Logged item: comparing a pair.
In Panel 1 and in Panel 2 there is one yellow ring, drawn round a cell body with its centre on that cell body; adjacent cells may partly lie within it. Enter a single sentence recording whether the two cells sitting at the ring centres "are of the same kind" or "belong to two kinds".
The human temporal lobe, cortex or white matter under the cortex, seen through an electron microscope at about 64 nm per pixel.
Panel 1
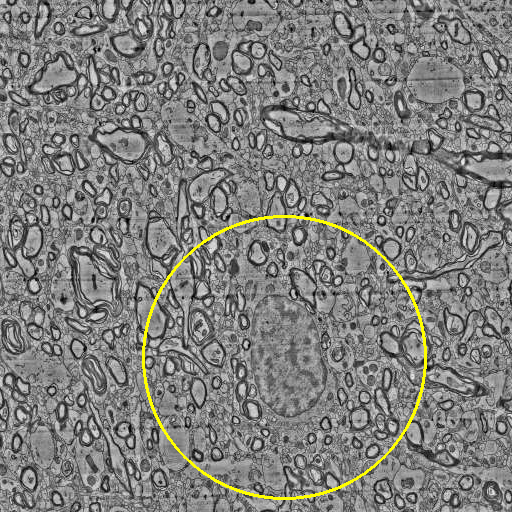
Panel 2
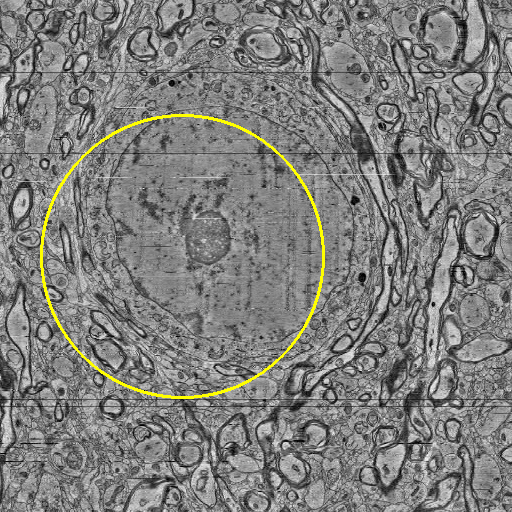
Logged: the cells centred in the rings of Panel 1 and Panel 2 belong to two kinds.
